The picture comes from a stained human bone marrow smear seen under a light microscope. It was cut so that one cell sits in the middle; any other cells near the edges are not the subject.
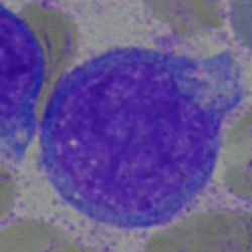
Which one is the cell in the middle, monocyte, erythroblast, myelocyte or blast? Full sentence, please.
This crop is built around a blast at its centre.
